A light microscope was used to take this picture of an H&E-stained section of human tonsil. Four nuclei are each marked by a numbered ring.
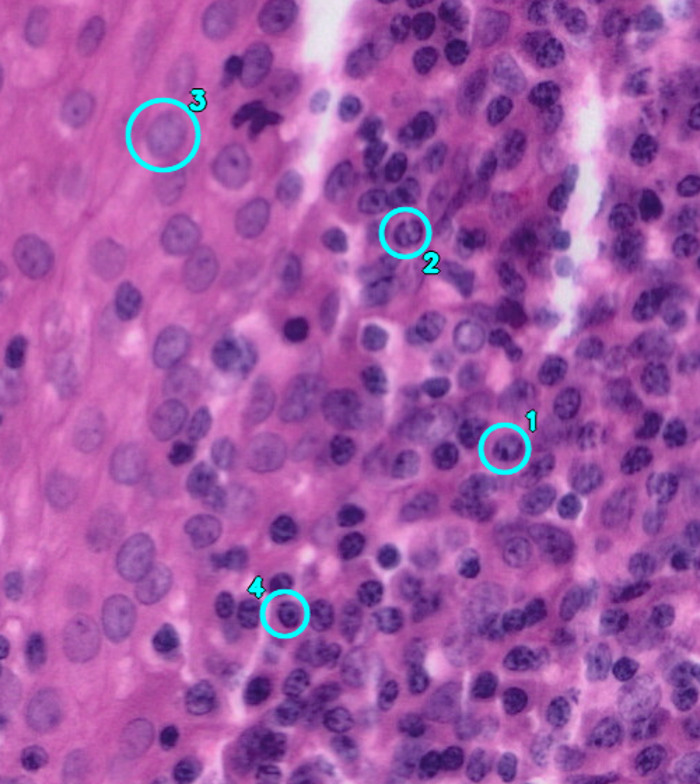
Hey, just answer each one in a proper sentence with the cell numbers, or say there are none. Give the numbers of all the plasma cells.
The cells with labels 1, 2 and 4 are plasma cells.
